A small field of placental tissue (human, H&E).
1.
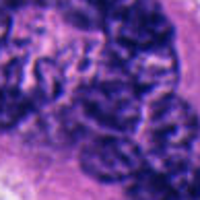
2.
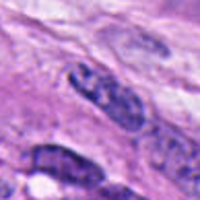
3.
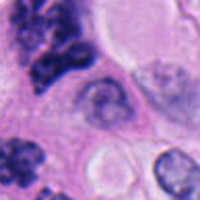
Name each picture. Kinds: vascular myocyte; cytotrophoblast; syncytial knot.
(1) syncytial knot
(2) vascular myocyte
(3) cytotrophoblast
